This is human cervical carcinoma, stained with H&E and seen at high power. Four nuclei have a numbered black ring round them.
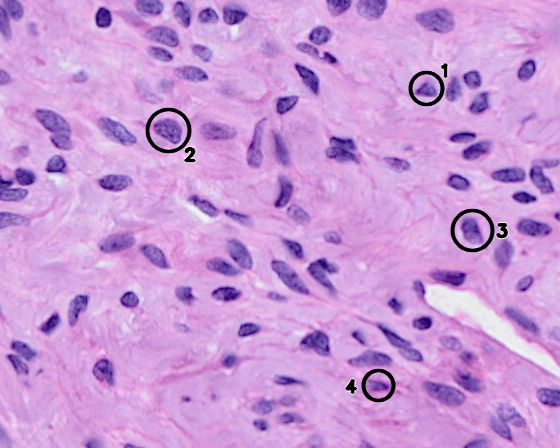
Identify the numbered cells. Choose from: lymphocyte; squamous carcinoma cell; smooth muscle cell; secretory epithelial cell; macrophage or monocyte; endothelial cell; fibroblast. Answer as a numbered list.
1. fibroblast
2. fibroblast
3. fibroblast
4. smooth muscle cell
